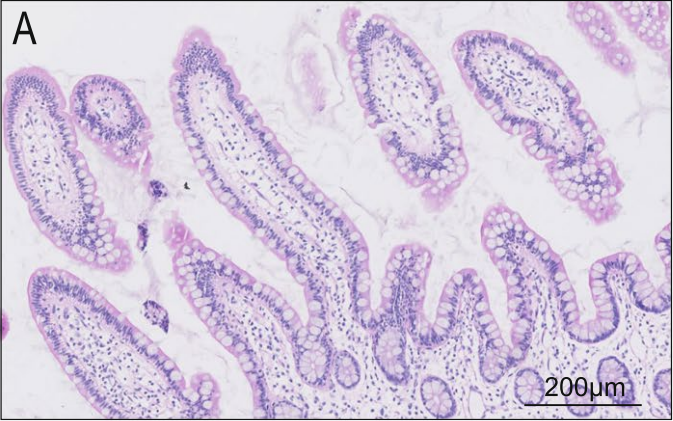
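Small bowel mucosa with tall, slender, finger-like villi, each lined by a single layer of columnar epithelium in which many pale, rounded goblet cells are interspersed. The villus cores are loose, pale lamina propria with scattered small nuclei, and crypts sit as round glandular profiles at the base between the villi.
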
